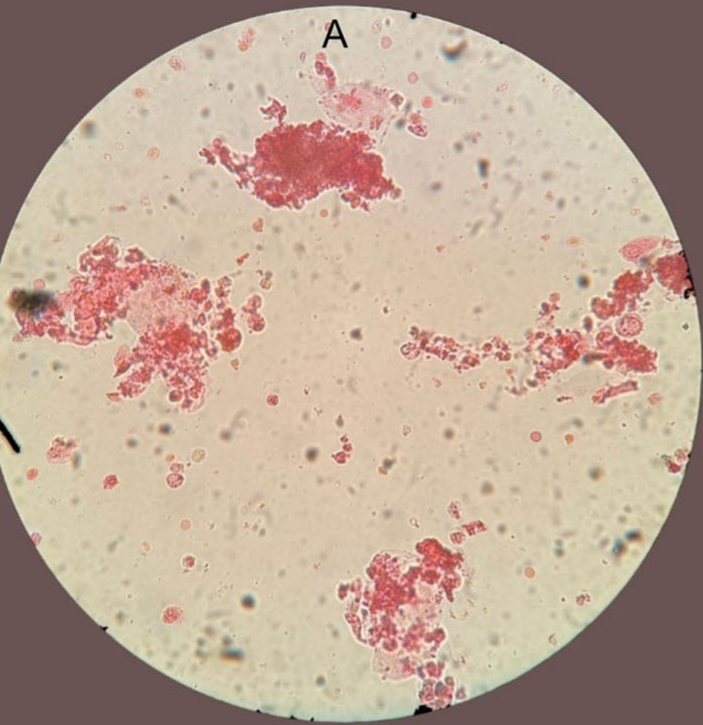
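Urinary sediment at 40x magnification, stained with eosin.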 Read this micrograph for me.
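The clumps are irregular in outline and made of many small rounded cells packed closely together. Some clumps lie around or against paler, larger pink structures. Between the clumps, single small round cells and fragments are scattered over a pale, lightly stained background.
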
